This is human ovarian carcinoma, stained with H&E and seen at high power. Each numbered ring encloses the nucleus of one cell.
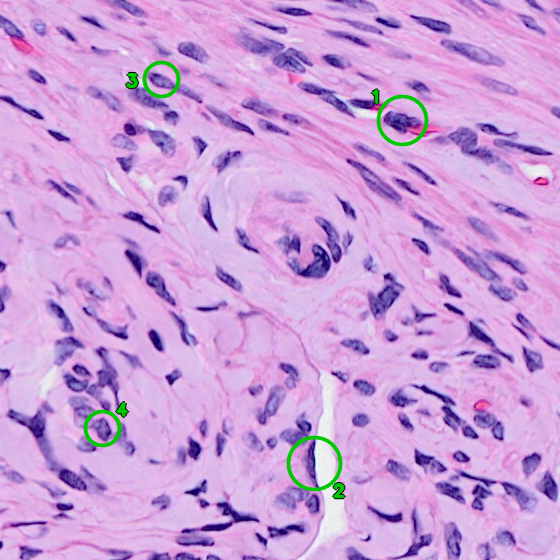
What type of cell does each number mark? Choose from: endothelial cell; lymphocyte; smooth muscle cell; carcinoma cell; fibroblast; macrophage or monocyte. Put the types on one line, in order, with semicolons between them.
endothelial cell; endothelial cell; smooth muscle cell; endothelial cell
